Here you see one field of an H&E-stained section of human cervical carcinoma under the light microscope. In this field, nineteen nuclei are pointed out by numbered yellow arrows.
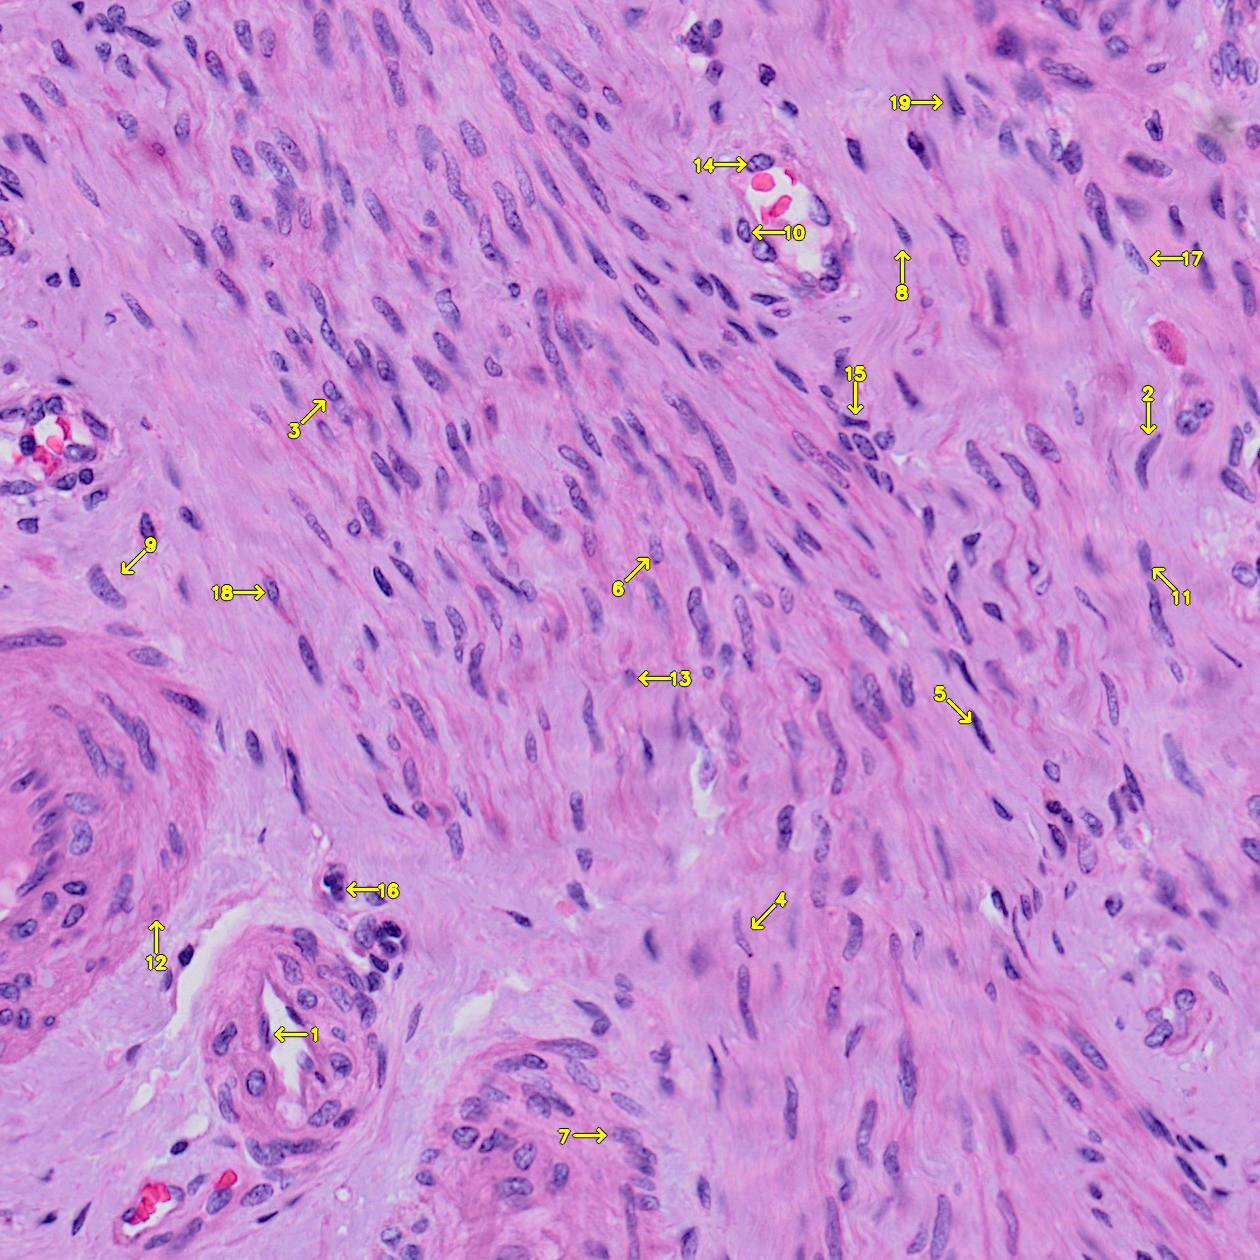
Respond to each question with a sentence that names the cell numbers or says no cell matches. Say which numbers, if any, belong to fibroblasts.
Cells 2, 4, 5, 8, 9, 11, 15, 17 and 19 are fibroblasts by cell type.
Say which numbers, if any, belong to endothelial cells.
The cells numbered 1, 10, 14 and 16 are of the kind known as endothelial cells.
